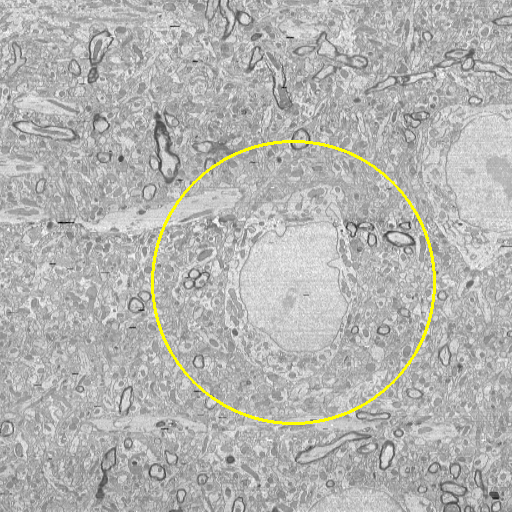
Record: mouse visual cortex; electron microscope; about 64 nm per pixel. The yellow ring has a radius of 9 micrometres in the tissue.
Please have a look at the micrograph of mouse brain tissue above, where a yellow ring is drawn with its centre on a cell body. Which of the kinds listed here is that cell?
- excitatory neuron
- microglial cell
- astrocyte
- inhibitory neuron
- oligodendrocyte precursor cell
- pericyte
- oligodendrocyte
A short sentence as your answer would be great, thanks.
At the centre of the ring sits an inhibitory neuron.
